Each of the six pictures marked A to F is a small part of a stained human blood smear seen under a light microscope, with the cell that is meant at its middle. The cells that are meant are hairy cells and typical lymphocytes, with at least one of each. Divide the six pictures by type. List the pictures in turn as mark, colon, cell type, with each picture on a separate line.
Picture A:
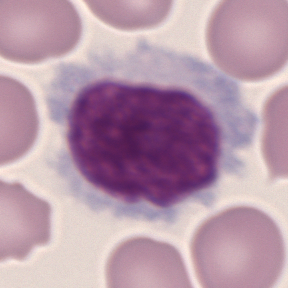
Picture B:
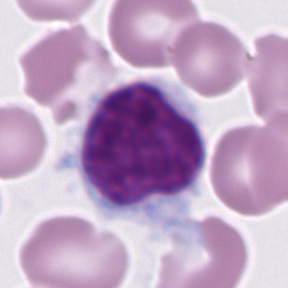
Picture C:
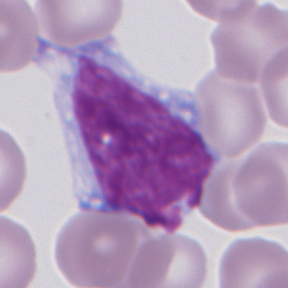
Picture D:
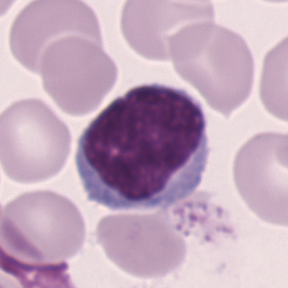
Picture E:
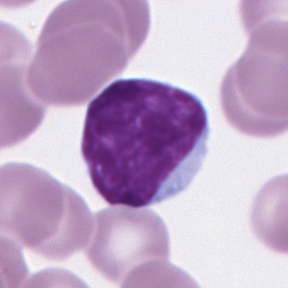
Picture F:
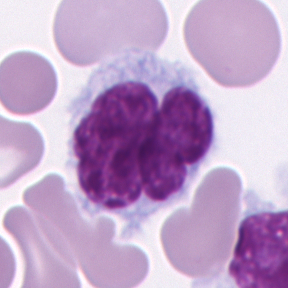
A: hairy cell
B: hairy cell
C: typical lymphocyte
D: typical lymphocyte
E: typical lymphocyte
F: hairy cell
